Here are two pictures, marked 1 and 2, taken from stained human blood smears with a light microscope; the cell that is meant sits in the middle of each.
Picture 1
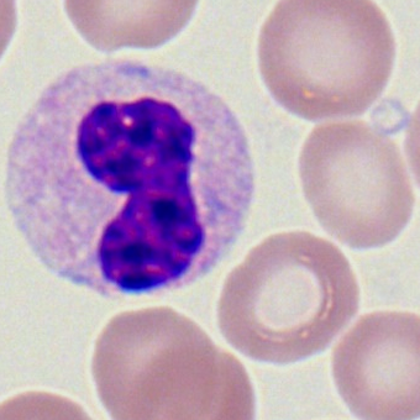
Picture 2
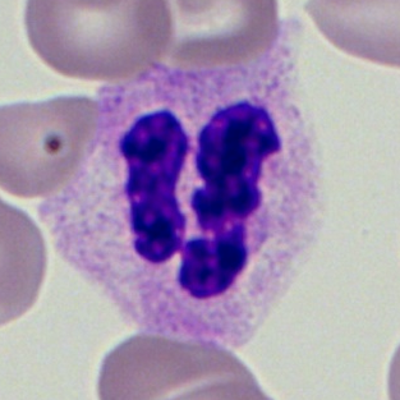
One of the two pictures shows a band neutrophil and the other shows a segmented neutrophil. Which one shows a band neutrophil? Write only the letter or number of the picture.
1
